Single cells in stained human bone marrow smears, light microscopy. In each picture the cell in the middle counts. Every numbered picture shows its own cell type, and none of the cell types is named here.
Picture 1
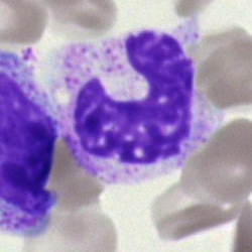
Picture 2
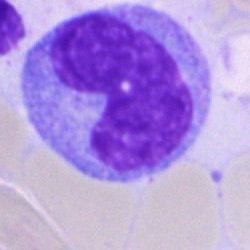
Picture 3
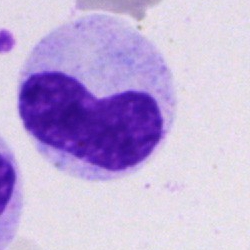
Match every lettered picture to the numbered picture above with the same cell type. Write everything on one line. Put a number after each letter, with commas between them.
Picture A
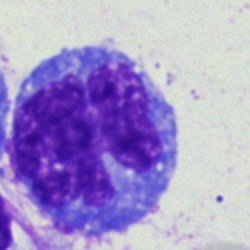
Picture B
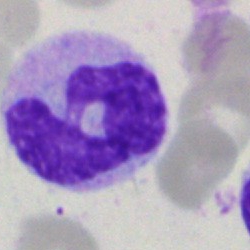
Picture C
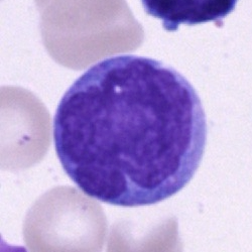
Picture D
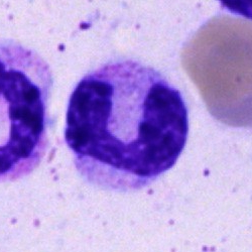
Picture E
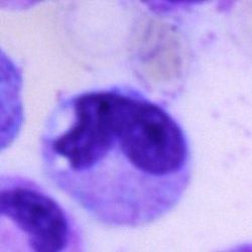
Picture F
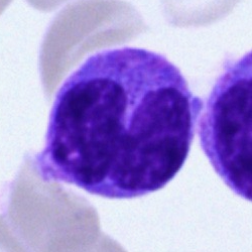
A 2, B 2, C 2, D 1, E 3, F 2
